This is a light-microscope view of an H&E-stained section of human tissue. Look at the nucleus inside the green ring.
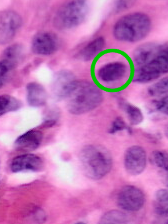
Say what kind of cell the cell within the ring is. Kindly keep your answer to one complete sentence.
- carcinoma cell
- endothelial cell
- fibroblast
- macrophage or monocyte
The cell type represented by the cell within the ring is that of a carcinoma cell.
